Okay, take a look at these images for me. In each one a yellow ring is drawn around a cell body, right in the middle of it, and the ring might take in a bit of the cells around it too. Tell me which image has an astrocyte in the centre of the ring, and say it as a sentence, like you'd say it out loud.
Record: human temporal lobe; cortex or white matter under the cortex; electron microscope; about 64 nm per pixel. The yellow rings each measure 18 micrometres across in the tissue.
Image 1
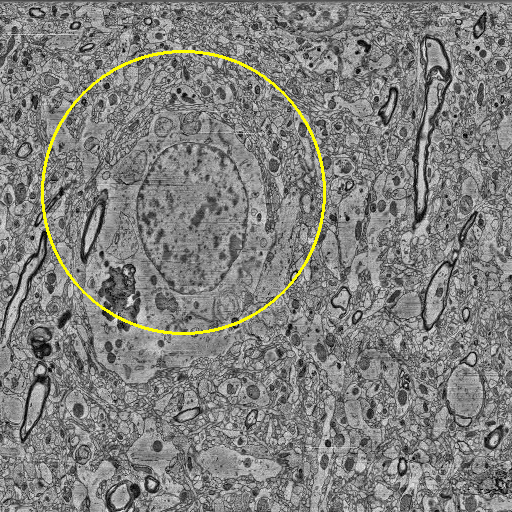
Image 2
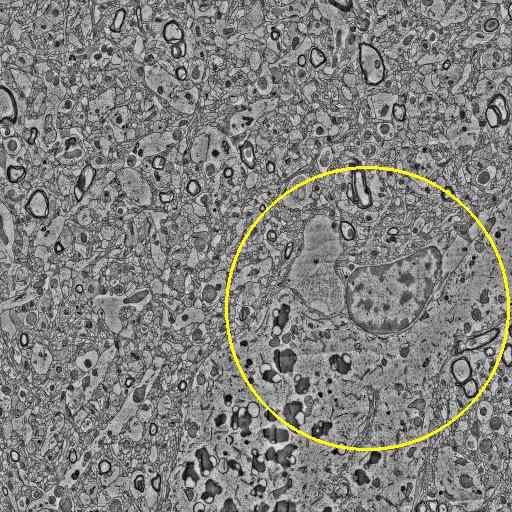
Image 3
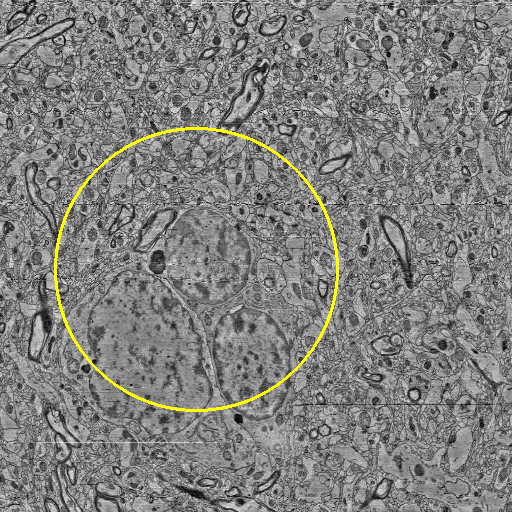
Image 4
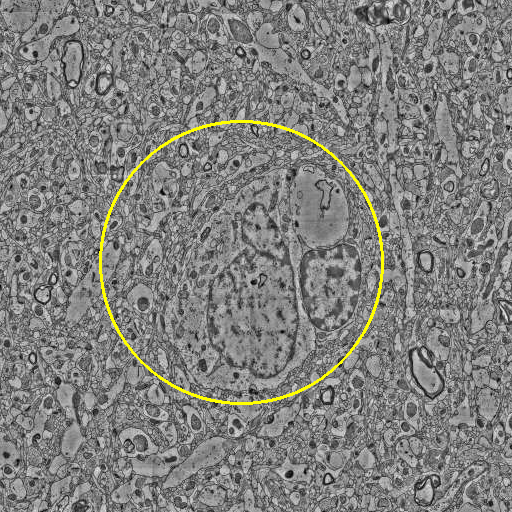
Image 1 is the one with it in the centre of the ring.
